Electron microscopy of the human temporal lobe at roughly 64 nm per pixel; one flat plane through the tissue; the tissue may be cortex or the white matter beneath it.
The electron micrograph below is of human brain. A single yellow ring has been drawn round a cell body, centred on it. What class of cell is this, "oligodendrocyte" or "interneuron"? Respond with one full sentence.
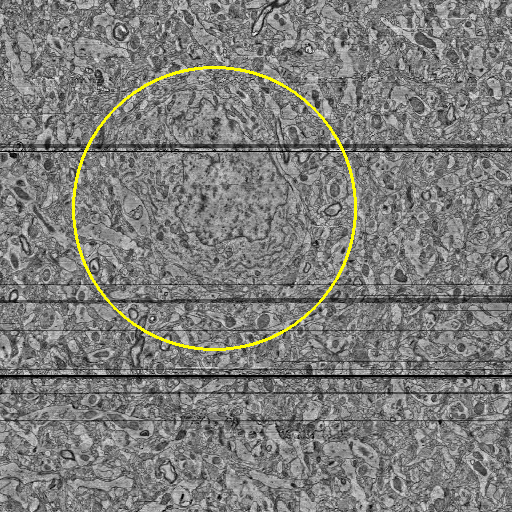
In the micrograph, the cell centred inside the yellow ring is an interneuron.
